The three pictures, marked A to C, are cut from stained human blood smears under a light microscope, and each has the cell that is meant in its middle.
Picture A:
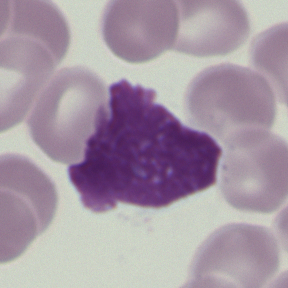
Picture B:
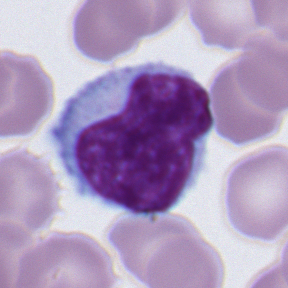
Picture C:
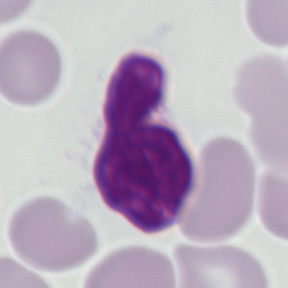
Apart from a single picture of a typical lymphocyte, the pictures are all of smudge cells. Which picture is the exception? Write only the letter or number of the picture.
B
